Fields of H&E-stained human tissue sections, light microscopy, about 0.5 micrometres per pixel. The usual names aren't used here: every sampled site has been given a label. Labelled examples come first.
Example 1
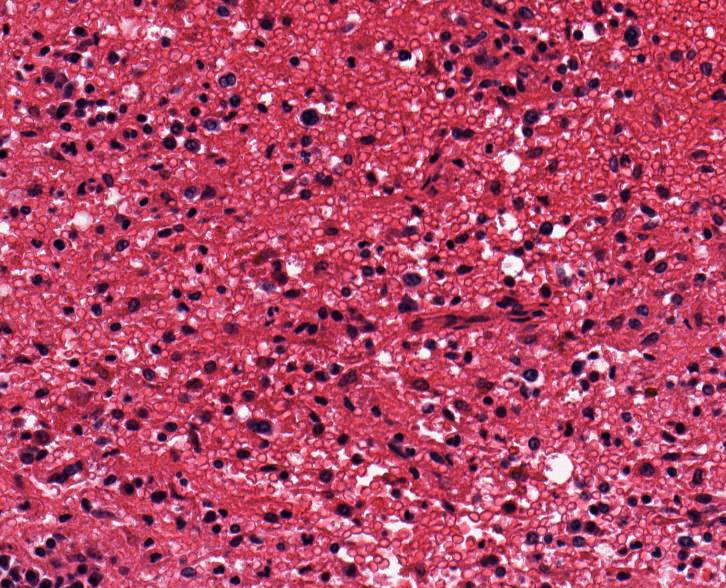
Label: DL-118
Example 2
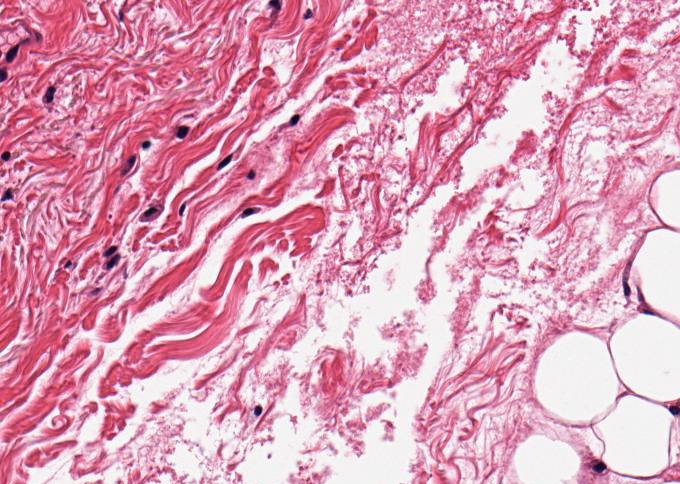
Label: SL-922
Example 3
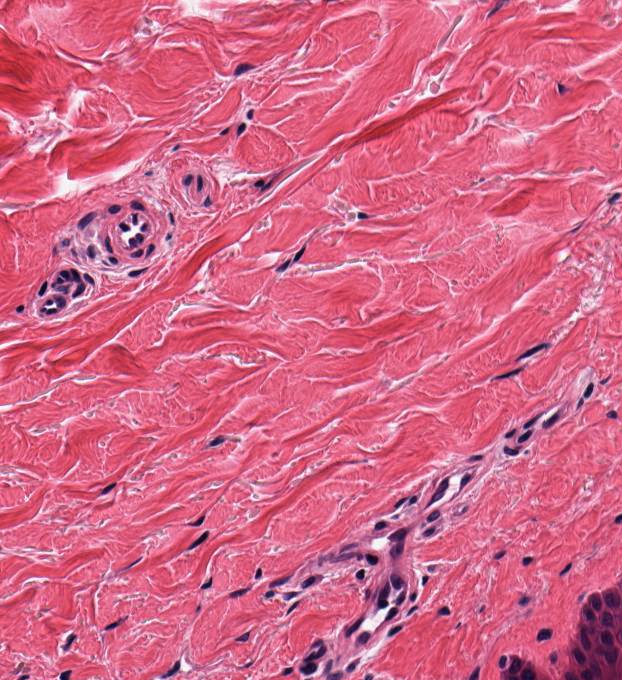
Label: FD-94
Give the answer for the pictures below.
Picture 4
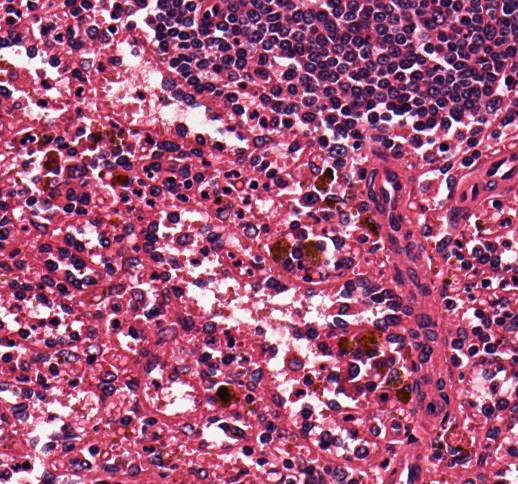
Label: DL-118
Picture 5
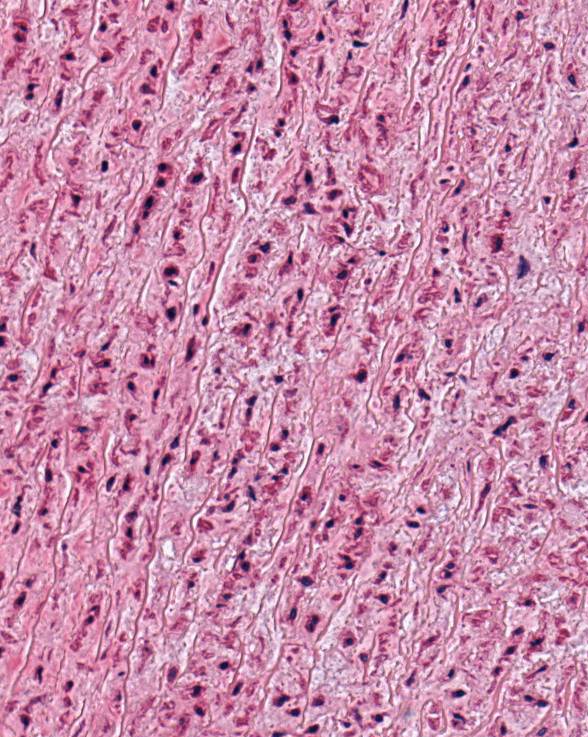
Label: SL-922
